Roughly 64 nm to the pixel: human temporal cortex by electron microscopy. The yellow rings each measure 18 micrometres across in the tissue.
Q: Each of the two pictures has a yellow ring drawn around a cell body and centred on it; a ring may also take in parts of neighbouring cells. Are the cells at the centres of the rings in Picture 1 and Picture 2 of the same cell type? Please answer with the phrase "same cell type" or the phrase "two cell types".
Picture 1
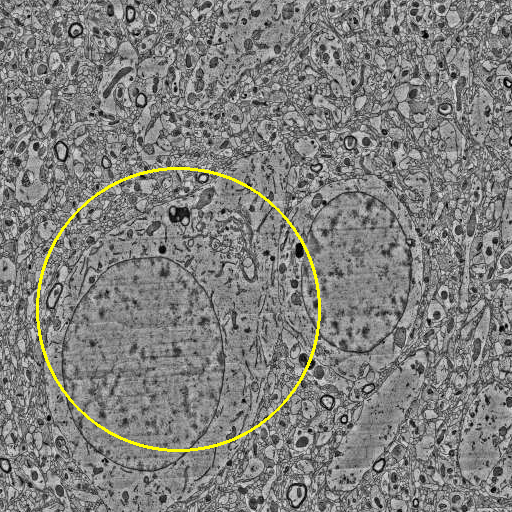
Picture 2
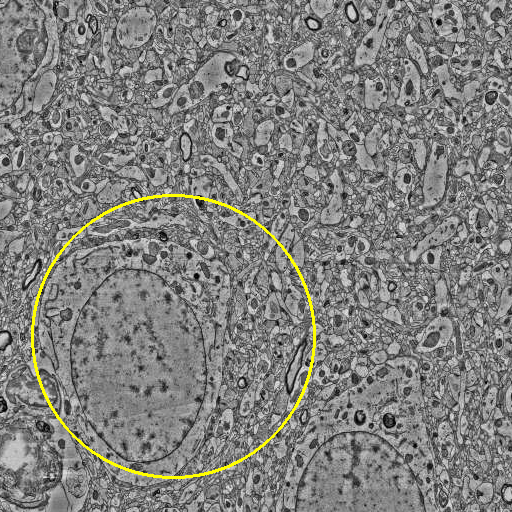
same cell type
